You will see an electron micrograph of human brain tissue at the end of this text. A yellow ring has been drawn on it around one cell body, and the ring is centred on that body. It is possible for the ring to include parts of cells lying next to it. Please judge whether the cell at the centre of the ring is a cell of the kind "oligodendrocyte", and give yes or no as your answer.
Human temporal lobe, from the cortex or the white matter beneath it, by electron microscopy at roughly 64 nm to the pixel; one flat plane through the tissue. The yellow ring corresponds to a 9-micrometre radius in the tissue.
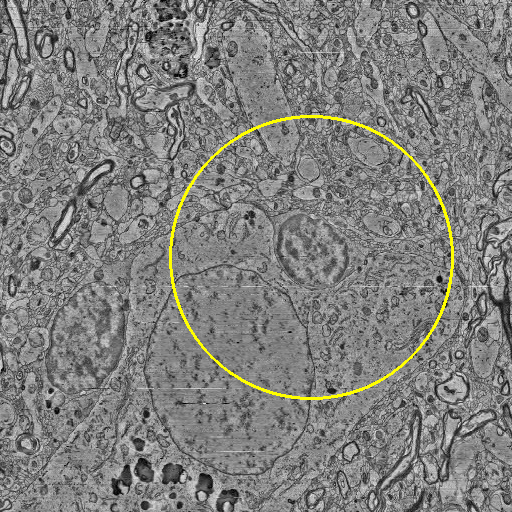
yes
